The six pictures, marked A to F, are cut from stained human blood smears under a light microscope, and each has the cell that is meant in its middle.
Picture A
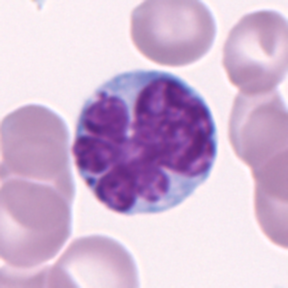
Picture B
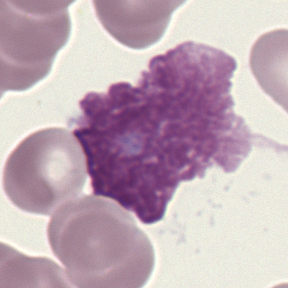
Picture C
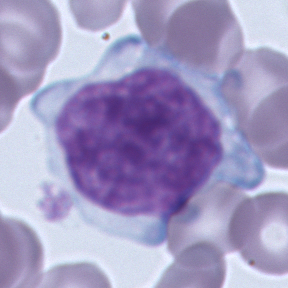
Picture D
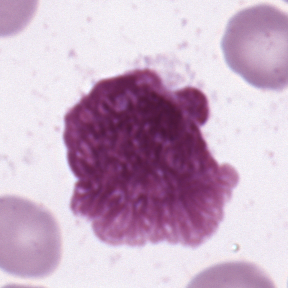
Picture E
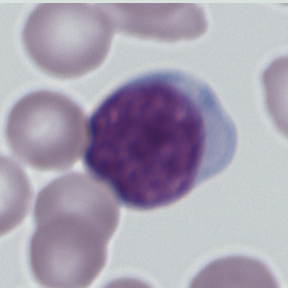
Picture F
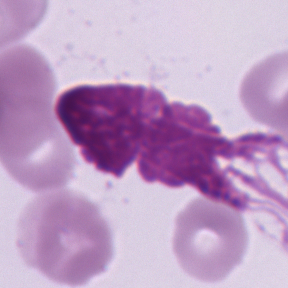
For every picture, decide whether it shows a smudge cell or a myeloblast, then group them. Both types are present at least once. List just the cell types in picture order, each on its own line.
myeloblast
smudge cell
myeloblast
smudge cell
myeloblast
smudge cell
